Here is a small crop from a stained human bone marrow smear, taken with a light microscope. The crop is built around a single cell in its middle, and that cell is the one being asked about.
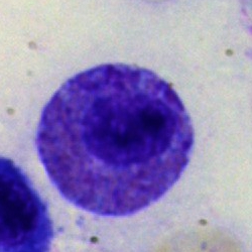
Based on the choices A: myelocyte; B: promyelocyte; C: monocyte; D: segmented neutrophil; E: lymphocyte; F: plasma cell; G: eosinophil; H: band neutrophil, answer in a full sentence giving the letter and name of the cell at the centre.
The cell in the center of this crop is an eosinophil, so option G is the one to pick.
